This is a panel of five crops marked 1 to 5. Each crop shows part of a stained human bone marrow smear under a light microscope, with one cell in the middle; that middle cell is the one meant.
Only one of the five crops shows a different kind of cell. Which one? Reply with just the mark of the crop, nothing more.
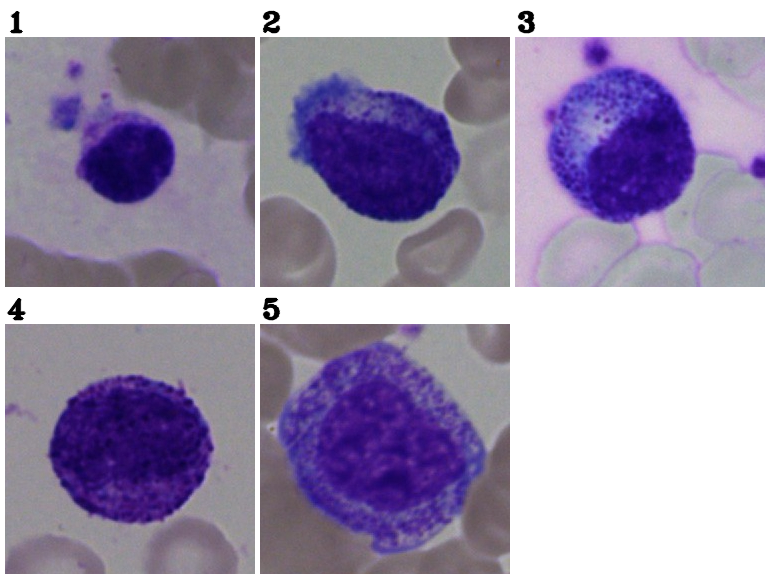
1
